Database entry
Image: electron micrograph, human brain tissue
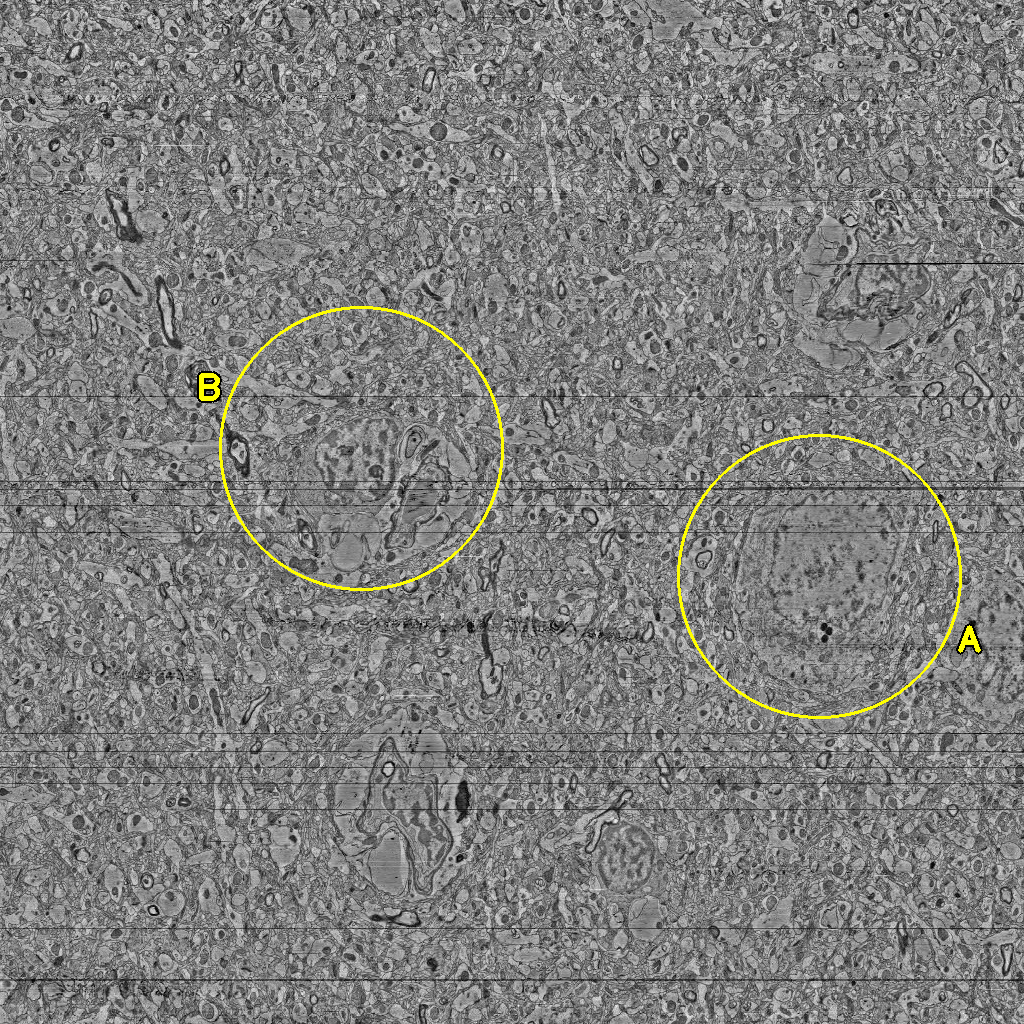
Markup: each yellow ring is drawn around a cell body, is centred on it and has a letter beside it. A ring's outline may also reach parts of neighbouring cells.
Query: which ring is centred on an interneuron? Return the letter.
A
